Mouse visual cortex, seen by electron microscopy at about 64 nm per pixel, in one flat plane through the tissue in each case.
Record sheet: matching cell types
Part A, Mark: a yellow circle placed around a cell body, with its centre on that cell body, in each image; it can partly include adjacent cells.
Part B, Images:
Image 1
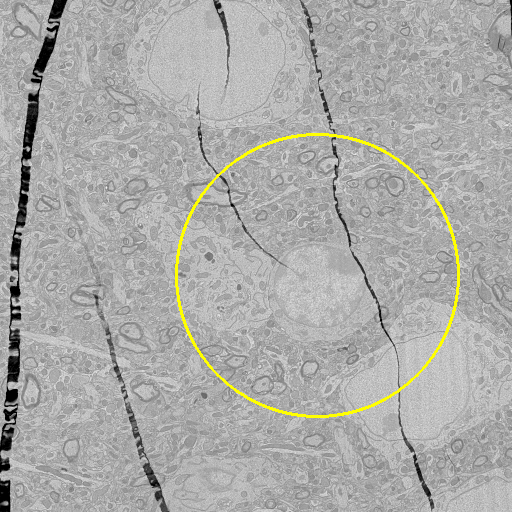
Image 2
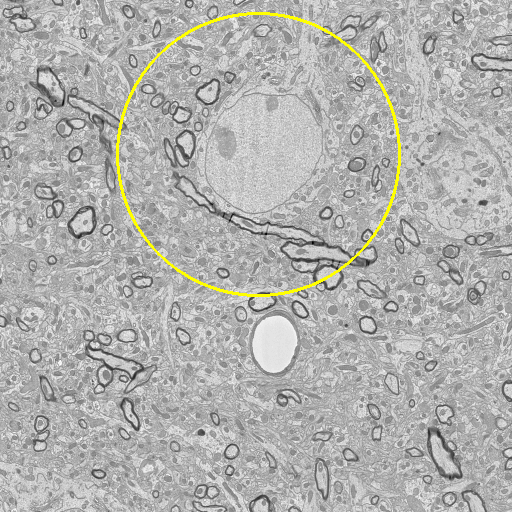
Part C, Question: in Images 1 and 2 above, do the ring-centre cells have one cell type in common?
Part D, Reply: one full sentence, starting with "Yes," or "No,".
No, the ring-centre cells of Image 1 and Image 2 are each of a separate cell type.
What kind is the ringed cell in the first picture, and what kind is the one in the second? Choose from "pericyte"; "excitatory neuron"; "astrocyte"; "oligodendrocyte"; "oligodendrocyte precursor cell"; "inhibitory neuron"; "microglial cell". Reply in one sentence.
The first cell is an oligodendrocyte; the second is an excitatory neuron.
